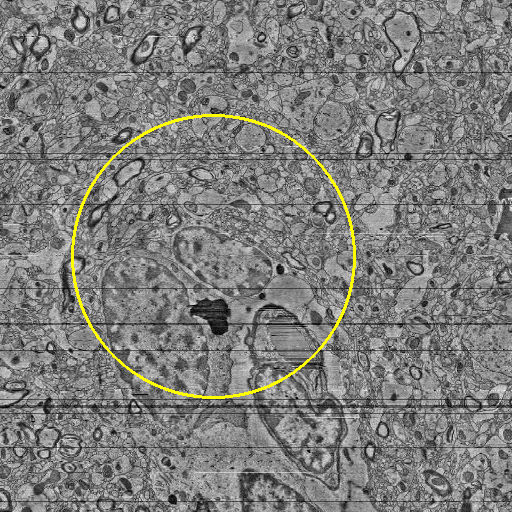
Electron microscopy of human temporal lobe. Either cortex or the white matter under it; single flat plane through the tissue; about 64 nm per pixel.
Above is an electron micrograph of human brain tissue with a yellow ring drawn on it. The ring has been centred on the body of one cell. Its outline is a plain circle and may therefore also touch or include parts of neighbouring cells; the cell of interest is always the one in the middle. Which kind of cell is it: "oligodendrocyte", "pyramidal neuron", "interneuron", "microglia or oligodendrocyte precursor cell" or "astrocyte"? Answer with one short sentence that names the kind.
The ring's central cell body is that of a microglial cell or oligodendrocyte precursor cell.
